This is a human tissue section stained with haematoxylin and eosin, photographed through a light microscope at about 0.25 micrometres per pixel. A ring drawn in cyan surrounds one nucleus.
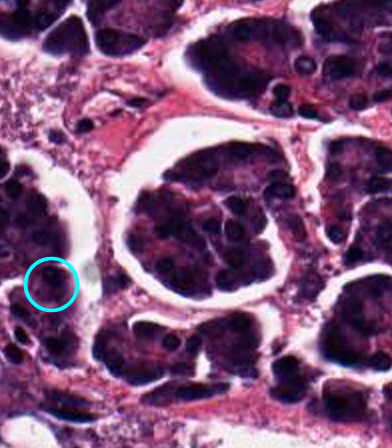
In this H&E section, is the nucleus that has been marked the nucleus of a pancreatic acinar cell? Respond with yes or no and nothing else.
yes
